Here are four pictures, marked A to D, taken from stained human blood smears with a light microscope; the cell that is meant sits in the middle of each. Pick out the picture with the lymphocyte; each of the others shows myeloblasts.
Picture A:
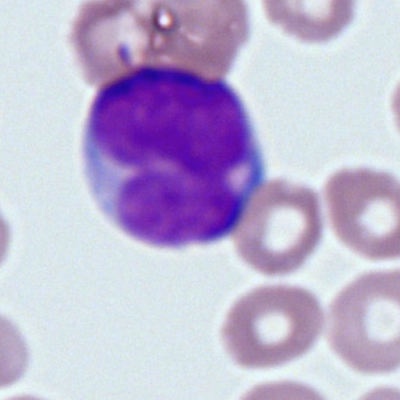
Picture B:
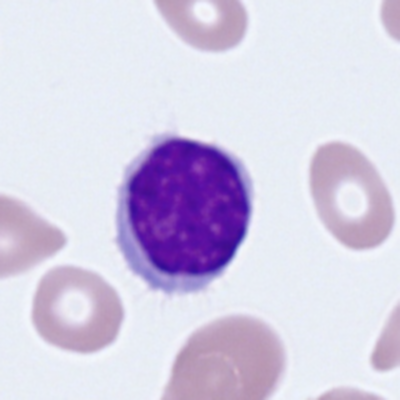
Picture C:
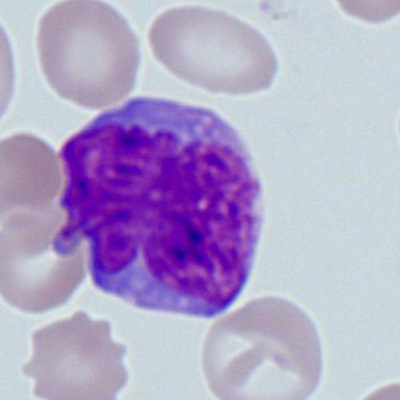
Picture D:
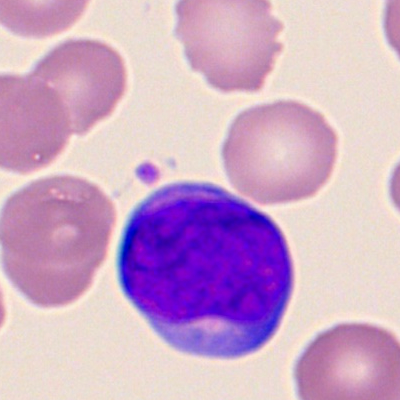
B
